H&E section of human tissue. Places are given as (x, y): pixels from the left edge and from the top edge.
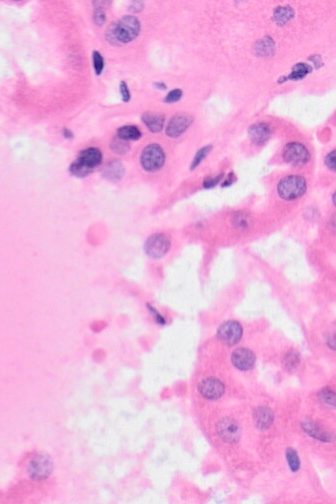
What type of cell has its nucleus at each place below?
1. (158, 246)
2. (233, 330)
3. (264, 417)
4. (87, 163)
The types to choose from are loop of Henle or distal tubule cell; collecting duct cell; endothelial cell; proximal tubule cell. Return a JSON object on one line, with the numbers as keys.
{"1": "proximal tubule cell", "2": "proximal tubule cell", "3": "proximal tubule cell", "4": "collecting duct cell"}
